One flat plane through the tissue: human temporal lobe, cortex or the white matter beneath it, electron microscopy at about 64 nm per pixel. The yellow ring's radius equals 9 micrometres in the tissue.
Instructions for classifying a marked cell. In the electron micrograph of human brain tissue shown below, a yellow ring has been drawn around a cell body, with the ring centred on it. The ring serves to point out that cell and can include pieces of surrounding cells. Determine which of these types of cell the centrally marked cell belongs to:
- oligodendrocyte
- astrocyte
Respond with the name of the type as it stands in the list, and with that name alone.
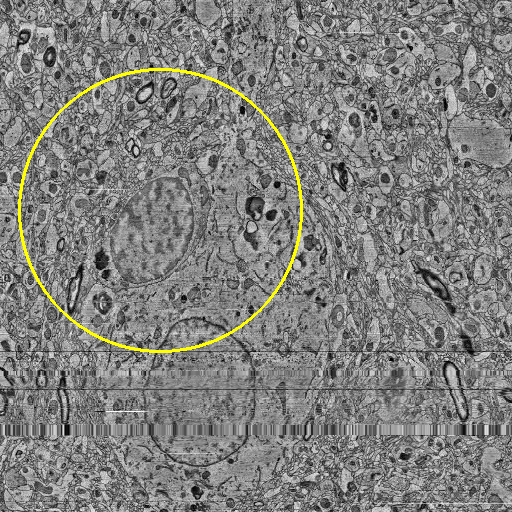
oligodendrocyte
